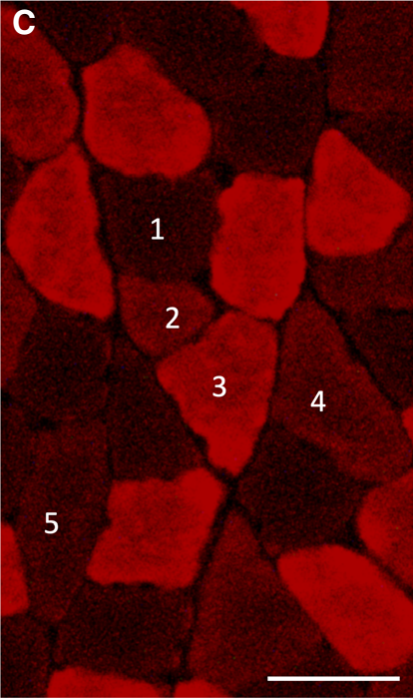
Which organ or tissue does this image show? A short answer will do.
muscle fibers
